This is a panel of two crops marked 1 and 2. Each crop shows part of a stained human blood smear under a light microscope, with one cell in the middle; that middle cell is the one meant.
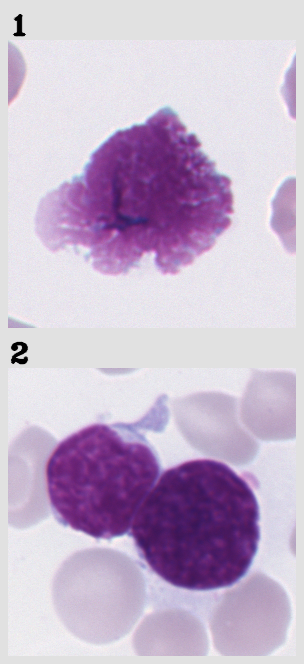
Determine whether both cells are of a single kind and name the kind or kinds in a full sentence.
No, in crop 1 the cell is a smudge cell, and in crop 2 it is a myeloblast.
